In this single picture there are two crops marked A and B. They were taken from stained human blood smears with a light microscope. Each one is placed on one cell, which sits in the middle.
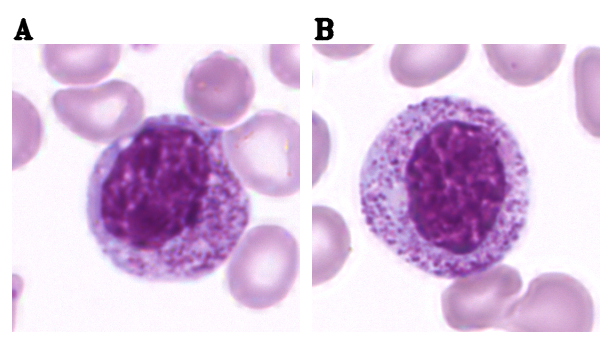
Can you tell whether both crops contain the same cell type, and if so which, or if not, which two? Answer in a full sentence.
Yes, the same answer goes for both crops, namely myelocytes.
